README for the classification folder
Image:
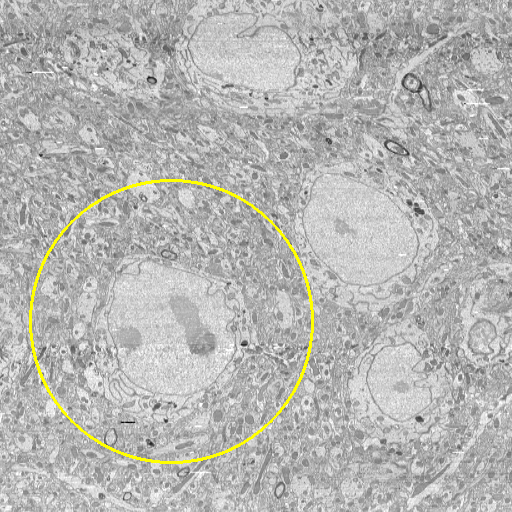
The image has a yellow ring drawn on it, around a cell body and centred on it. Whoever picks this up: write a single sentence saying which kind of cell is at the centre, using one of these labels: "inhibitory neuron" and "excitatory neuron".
This cell body is that of an inhibitory neuron.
